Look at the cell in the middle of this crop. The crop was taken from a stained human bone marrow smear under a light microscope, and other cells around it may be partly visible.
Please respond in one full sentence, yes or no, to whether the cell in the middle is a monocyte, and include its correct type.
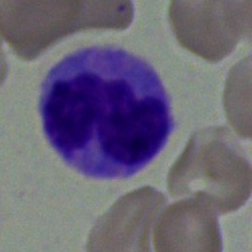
Yes, the cell in the middle is rightly called a monocyte.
